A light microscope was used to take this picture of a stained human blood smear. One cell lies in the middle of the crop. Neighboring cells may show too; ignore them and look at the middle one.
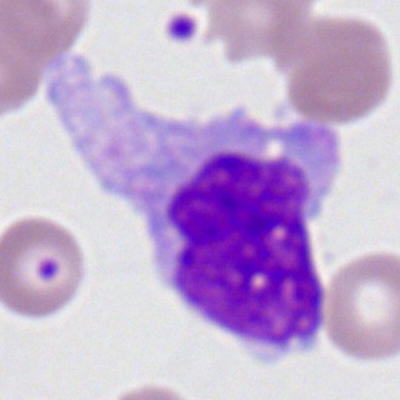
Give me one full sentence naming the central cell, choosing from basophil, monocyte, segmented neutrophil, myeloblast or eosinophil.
The cell at the middle of the frame should be recorded as a monocyte.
